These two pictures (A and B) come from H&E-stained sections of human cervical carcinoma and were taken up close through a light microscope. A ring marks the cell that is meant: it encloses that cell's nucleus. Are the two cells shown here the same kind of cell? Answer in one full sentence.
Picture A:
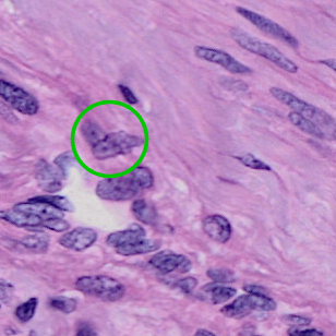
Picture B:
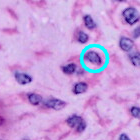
No, the types are not the same, since picture A shows an endothelial cell and picture B a smooth muscle cell.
